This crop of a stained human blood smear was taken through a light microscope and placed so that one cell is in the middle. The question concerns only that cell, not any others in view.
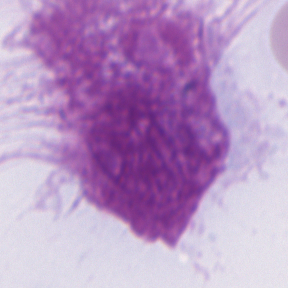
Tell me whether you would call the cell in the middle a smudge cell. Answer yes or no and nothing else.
yes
